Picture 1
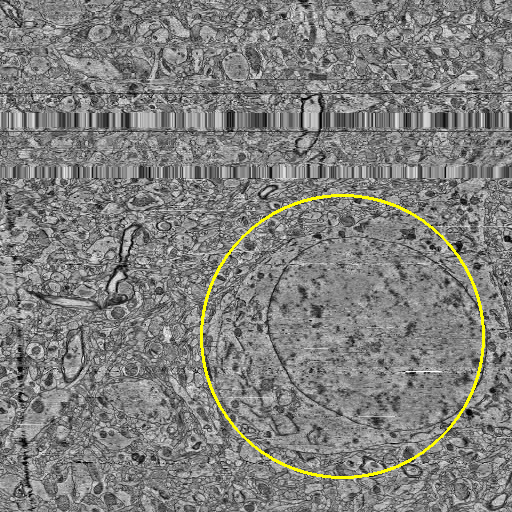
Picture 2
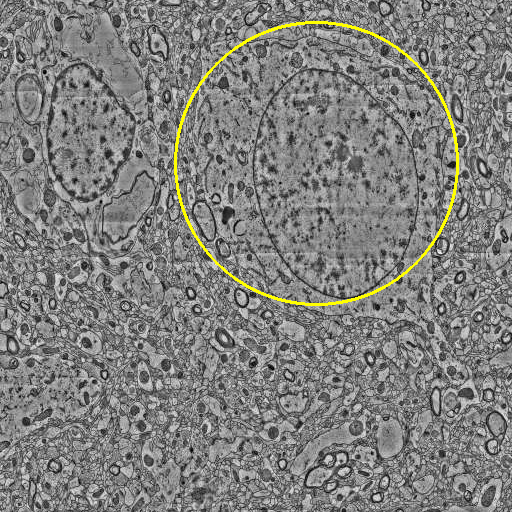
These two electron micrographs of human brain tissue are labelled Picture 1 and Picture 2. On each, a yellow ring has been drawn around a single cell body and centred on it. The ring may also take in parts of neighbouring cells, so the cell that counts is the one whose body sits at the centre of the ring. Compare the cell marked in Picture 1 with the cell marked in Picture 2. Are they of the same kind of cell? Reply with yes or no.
yes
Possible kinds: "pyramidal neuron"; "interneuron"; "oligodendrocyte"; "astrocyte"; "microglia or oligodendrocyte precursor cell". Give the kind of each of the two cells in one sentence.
Each of the two cells is a pyramidal neuron.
